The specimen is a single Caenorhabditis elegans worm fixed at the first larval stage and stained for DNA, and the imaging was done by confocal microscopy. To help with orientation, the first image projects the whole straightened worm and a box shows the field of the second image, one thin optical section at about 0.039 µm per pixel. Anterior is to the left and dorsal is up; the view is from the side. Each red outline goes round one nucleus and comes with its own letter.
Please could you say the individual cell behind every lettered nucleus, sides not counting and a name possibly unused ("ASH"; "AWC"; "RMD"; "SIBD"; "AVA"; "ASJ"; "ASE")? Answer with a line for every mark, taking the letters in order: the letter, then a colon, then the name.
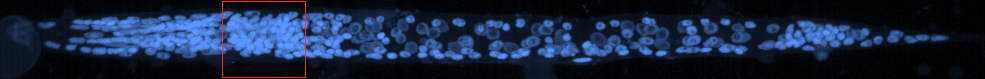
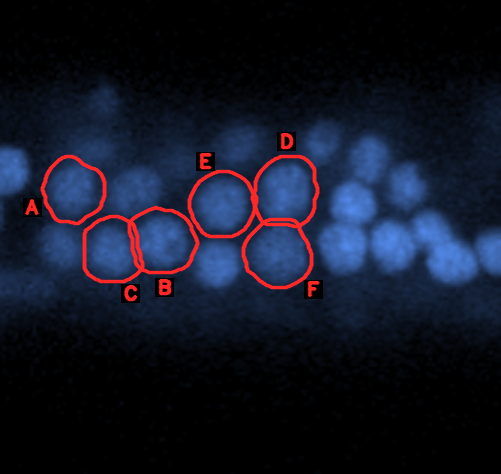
A: AVA
B: AWC
C: SIBD
D: ASE
E: ASH
F: ASJ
